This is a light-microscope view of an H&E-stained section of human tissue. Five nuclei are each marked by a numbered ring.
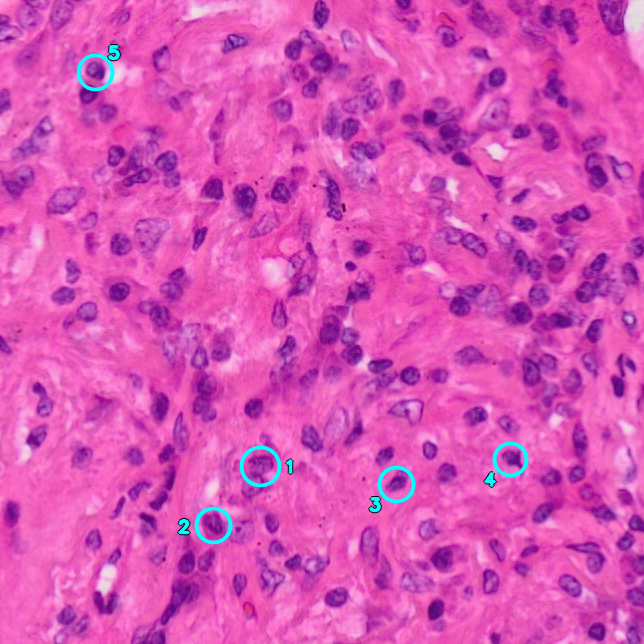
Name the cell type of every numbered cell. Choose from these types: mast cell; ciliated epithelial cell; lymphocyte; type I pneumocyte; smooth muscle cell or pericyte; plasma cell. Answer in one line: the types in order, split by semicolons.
plasma cell; plasma cell; lymphocyte; lymphocyte; lymphocyte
